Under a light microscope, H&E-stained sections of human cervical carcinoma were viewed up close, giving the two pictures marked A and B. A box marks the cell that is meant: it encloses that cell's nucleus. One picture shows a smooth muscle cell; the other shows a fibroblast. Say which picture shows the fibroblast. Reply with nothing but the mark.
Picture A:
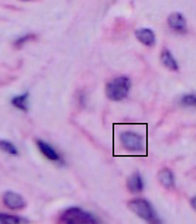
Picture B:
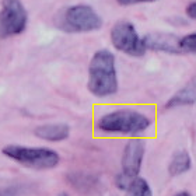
B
